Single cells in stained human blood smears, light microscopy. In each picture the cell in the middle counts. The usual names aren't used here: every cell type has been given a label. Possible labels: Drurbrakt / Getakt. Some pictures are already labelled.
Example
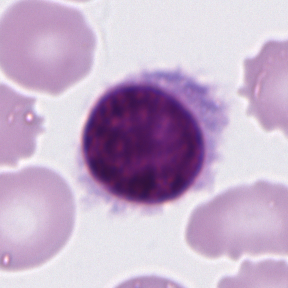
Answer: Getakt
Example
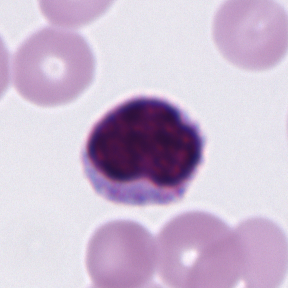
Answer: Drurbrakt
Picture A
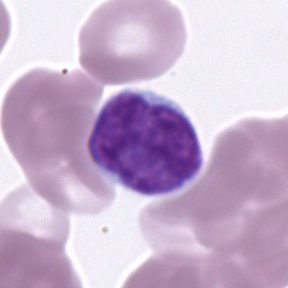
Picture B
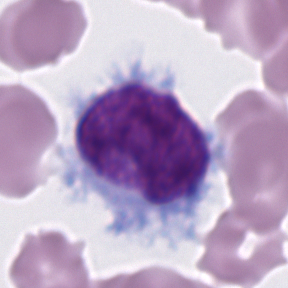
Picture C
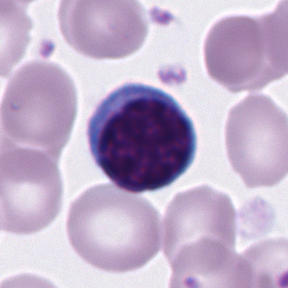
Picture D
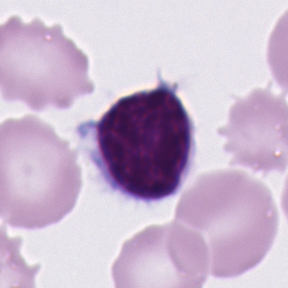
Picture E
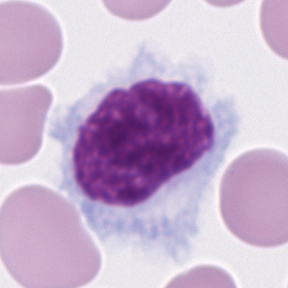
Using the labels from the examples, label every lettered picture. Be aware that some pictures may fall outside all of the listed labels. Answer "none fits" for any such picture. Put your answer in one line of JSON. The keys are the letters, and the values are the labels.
{"A": "none fits", "B": "Getakt", "C": "none fits", "D": "Getakt", "E": "Getakt"}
